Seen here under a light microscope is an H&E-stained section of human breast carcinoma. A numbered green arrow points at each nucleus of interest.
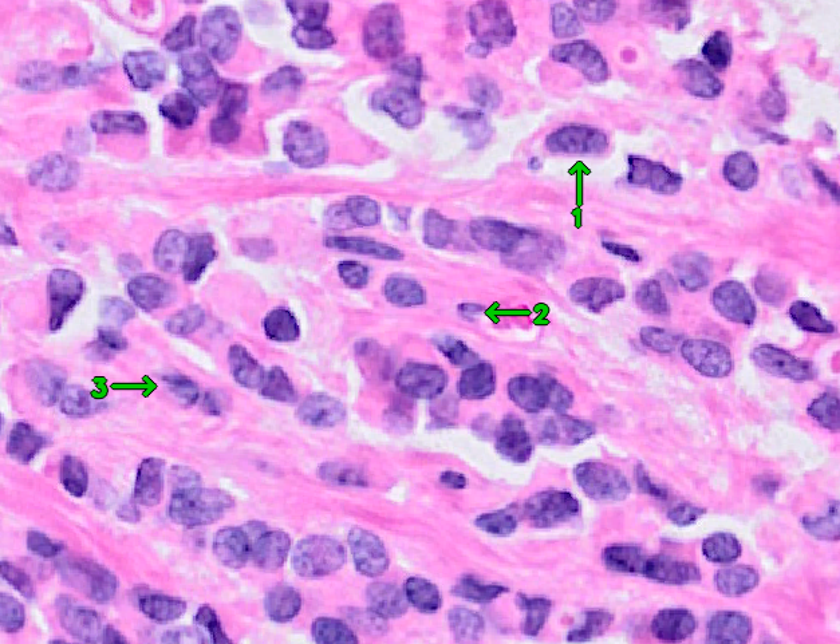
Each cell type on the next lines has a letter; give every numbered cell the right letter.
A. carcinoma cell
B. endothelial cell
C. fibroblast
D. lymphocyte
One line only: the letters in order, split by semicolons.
A; B; B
